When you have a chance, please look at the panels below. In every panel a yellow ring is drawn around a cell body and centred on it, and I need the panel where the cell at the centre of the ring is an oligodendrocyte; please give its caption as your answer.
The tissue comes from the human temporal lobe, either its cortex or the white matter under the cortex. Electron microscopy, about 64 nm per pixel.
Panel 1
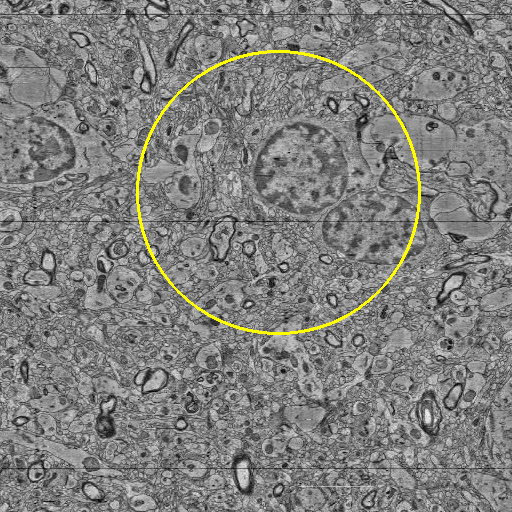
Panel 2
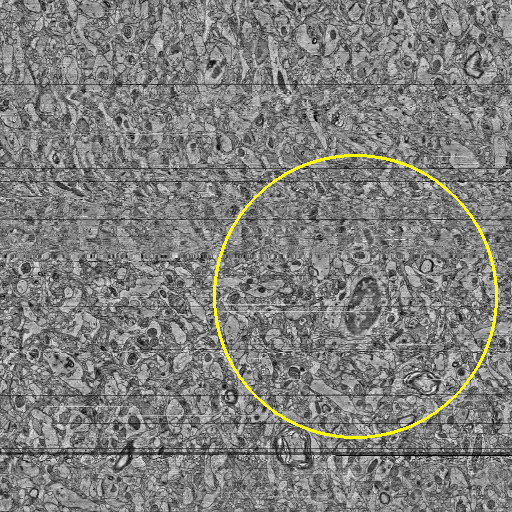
Panel 1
